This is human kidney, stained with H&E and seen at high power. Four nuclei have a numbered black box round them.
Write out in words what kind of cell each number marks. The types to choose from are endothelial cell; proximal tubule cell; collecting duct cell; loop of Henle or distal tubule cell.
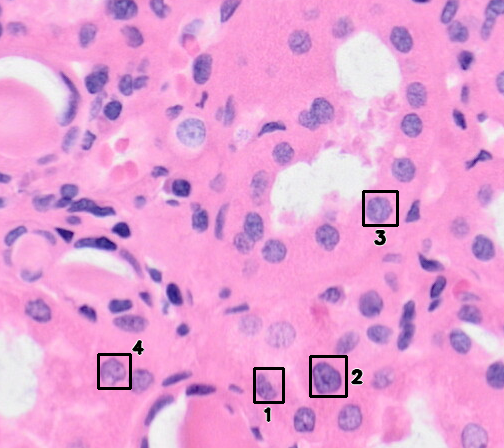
Cells 1, 2 and 4 are proximal tubule cells. Cell 3 is a loop of Henle or distal tubule cell.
